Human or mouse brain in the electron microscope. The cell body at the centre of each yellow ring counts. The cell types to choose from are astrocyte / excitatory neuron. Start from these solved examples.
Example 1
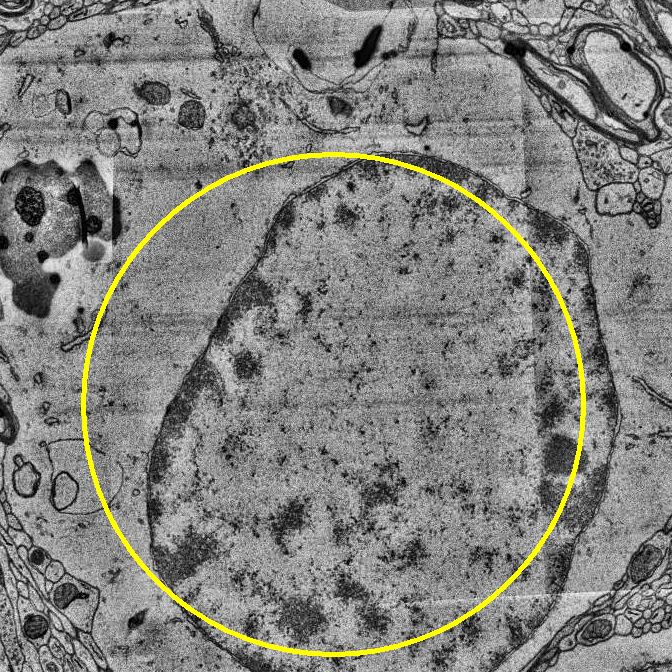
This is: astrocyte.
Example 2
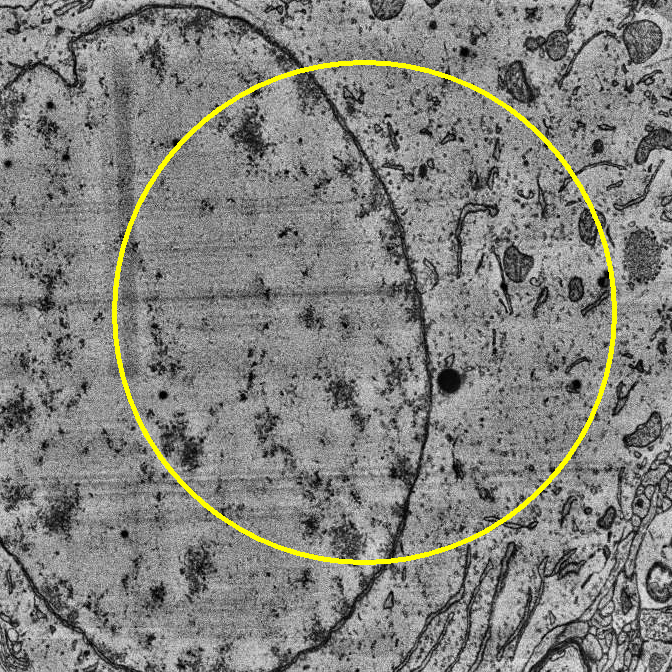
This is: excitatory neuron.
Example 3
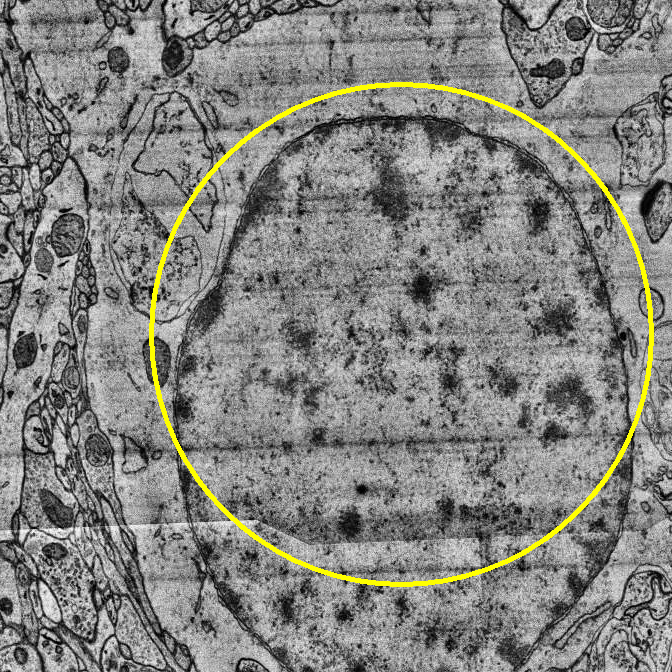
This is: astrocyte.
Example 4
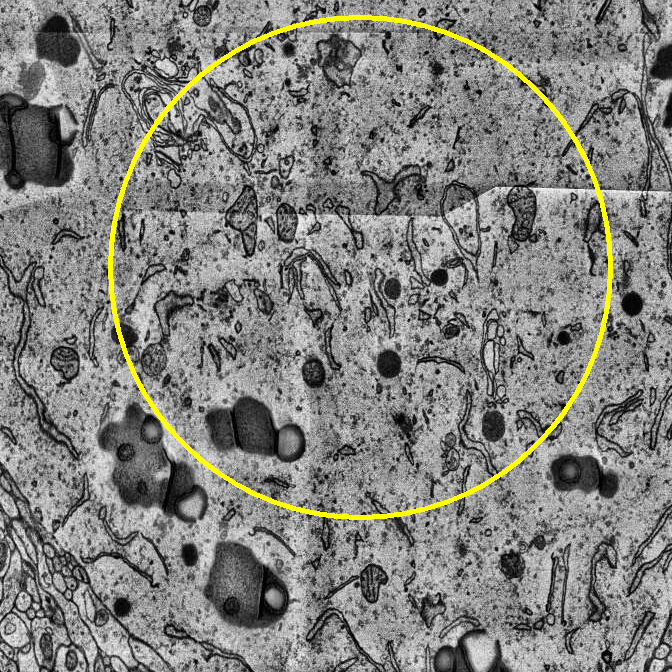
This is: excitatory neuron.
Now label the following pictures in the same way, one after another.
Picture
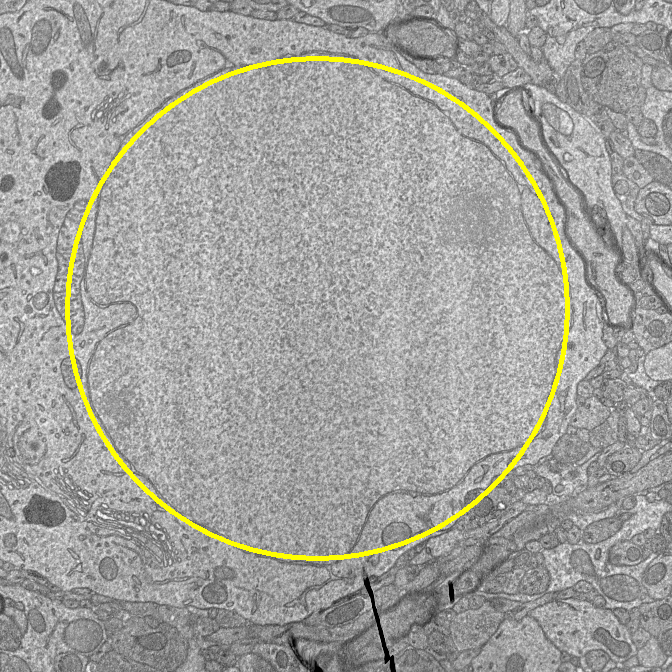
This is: excitatory neuron.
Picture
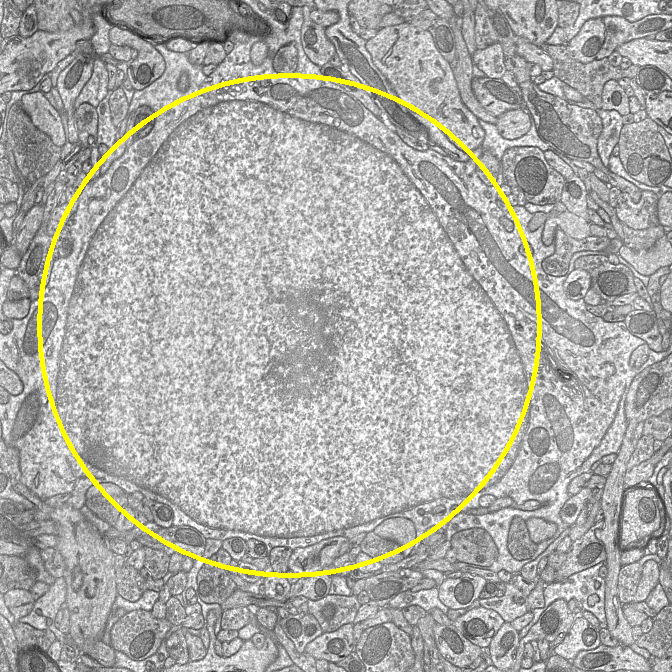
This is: astrocyte.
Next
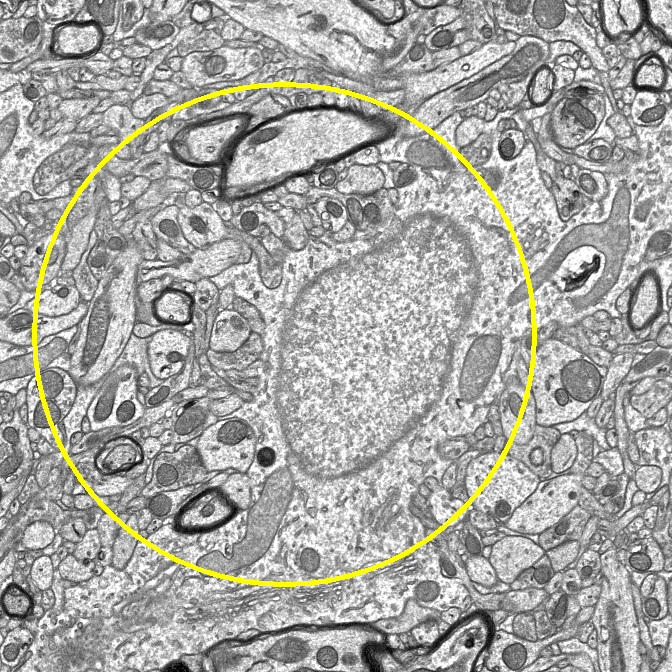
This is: astrocyte.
